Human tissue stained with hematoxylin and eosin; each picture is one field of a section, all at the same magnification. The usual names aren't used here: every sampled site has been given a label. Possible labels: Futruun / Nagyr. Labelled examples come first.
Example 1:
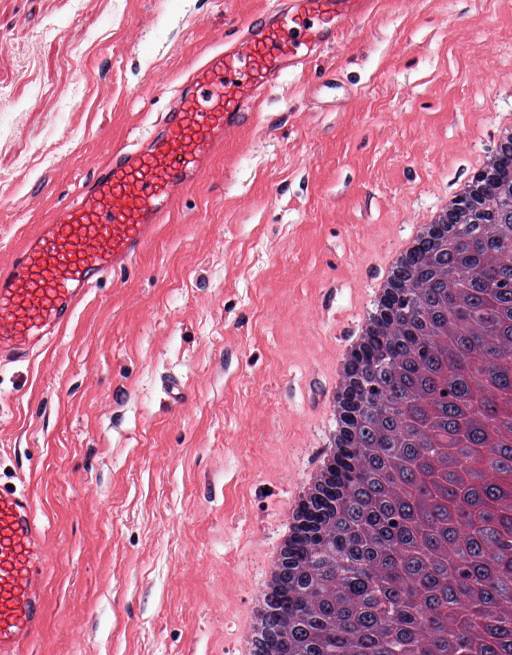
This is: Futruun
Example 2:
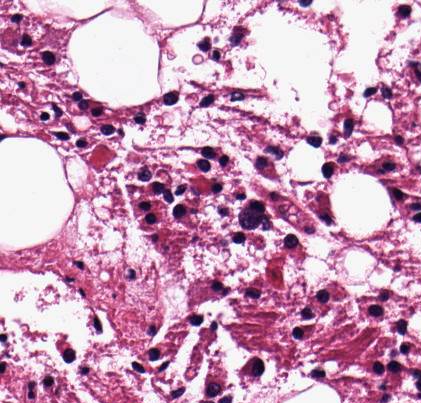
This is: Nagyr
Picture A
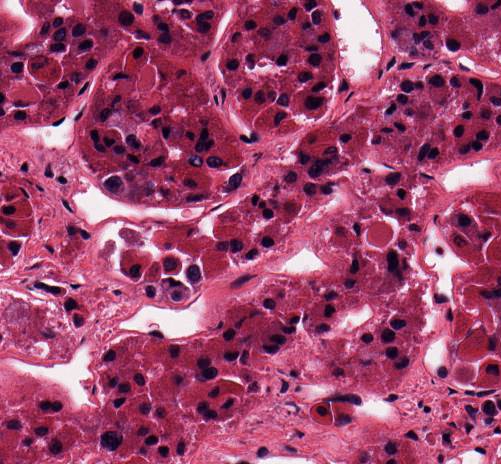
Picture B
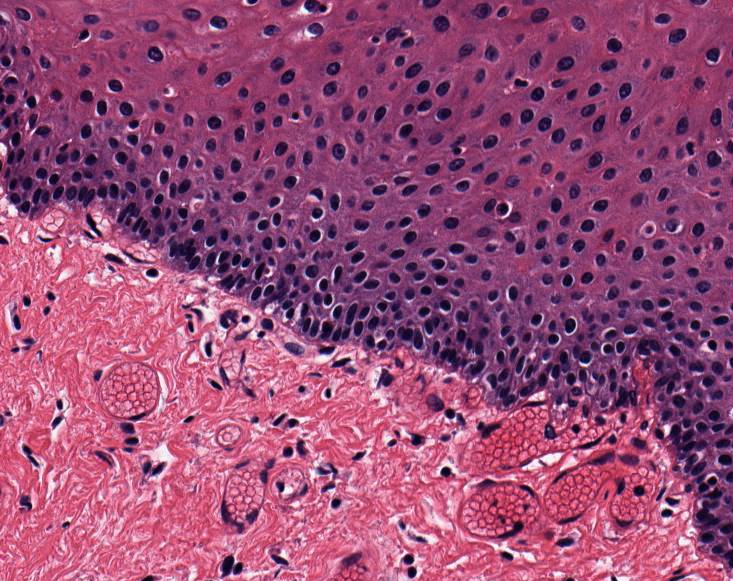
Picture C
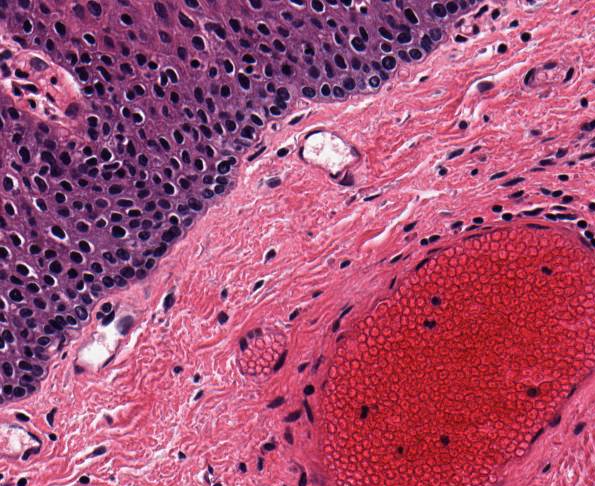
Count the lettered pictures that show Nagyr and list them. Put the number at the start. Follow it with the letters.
1, namely A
